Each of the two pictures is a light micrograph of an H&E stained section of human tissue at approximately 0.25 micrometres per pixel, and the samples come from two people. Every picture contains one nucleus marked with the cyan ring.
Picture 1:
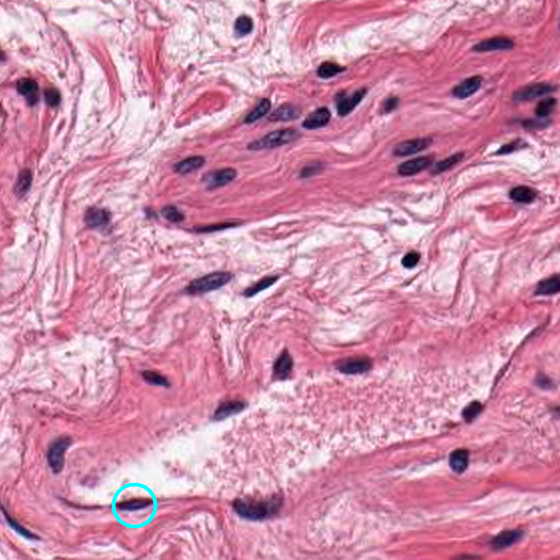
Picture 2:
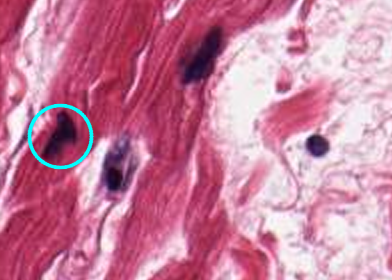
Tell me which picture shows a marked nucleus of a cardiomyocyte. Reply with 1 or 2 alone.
2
